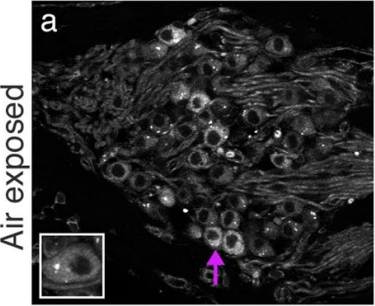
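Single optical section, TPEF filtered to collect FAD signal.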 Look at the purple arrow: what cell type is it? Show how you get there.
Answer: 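Large round cell bodies lie in clusters among bundles of wavy fibres. The marked cell has a dark round nucleus within a bright ring of cytoplasm. The cytoplasm shows bright granular dots.
Answer: neuron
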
